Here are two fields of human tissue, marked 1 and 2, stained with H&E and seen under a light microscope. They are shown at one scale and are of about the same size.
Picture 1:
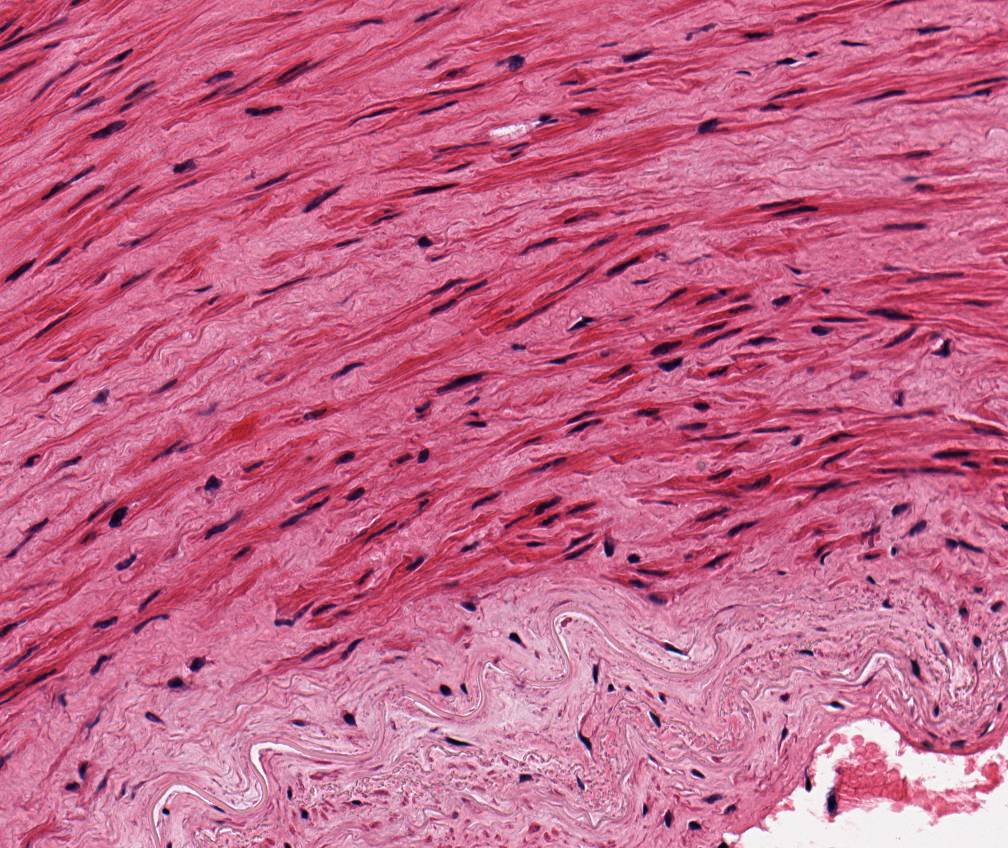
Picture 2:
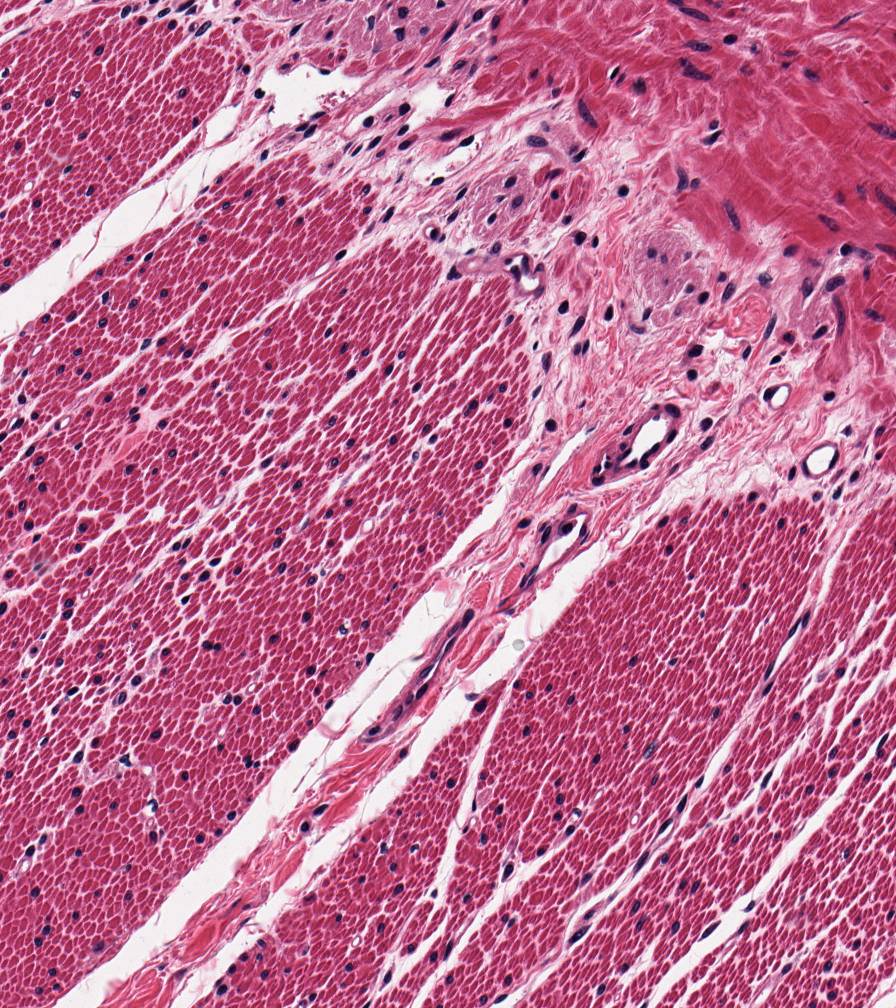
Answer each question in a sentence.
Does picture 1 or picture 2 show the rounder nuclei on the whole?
Rounder nuclei lie in picture 2.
